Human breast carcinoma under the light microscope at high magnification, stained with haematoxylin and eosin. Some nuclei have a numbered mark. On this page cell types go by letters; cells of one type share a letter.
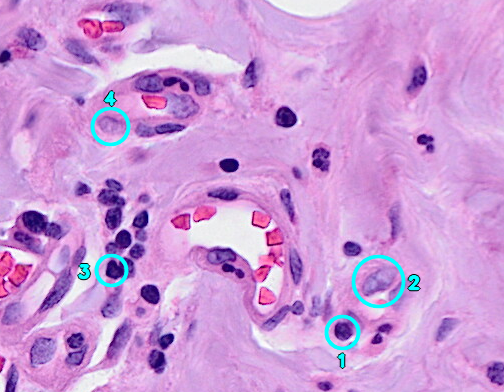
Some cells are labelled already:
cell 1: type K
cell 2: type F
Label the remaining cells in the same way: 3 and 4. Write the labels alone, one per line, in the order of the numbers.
type K
type F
